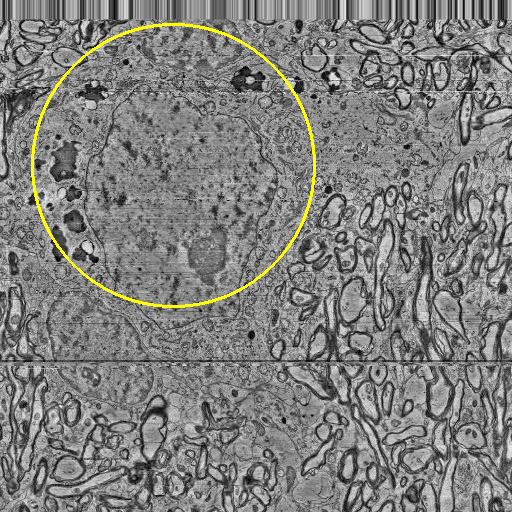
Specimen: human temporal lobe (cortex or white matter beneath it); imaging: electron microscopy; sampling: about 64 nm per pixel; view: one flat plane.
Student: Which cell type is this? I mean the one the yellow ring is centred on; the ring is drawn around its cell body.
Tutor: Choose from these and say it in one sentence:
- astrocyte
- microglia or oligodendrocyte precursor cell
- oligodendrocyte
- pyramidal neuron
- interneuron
The cell the ring is centred on is a pyramidal neuron.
